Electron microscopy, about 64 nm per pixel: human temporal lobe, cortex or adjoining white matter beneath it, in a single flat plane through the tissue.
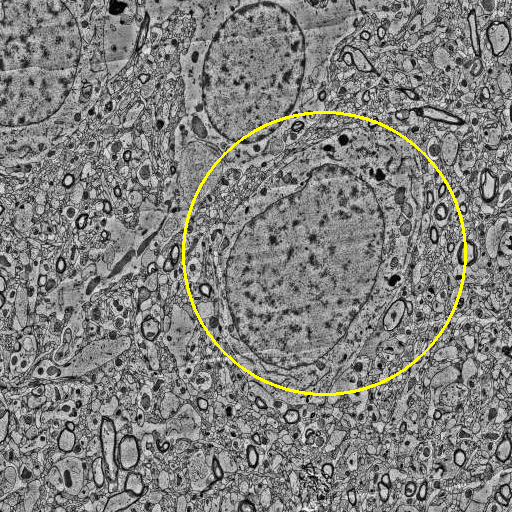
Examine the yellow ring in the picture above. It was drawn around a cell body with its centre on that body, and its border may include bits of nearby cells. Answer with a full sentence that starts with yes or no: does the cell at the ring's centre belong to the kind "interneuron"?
No, the cell at the heart of the ring shown in the image is a different kind of cell.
